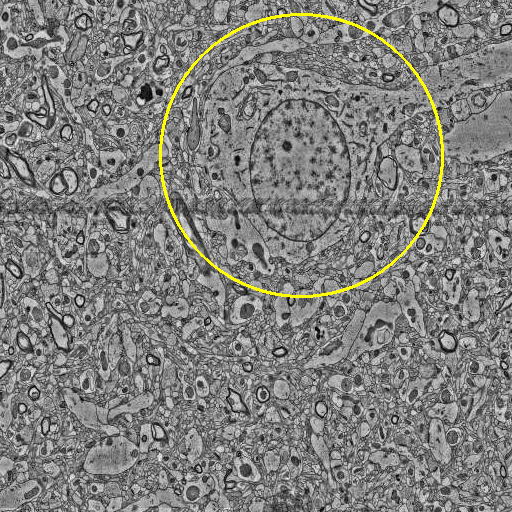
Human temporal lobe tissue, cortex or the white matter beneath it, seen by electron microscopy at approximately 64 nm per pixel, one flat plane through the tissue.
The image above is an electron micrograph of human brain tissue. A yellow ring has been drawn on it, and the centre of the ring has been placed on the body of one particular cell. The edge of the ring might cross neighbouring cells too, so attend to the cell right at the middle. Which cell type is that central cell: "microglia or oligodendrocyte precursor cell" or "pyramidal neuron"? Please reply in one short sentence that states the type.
The central cell in the ring is a pyramidal neuron.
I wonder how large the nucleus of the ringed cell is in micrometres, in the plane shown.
Roughly 9 by 7 micrometres in this plane, for the nucleus of the ringed cell.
